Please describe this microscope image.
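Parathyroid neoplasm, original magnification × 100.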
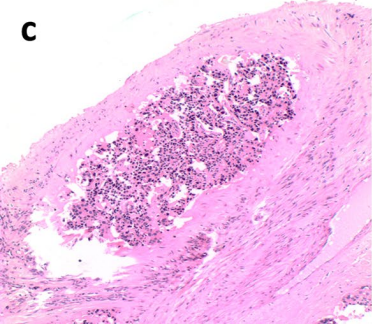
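Within a thick band of pink, collagen-rich fibrous tissue with scattered elongated spindle nuclei lies an oval lumen filled with a cohesive clump of cells with round dark nuclei. A narrow clear cleft separates the clump from part of the wall. This is a nest of tumor cells lying within a vessel in the fibrous capsule.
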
